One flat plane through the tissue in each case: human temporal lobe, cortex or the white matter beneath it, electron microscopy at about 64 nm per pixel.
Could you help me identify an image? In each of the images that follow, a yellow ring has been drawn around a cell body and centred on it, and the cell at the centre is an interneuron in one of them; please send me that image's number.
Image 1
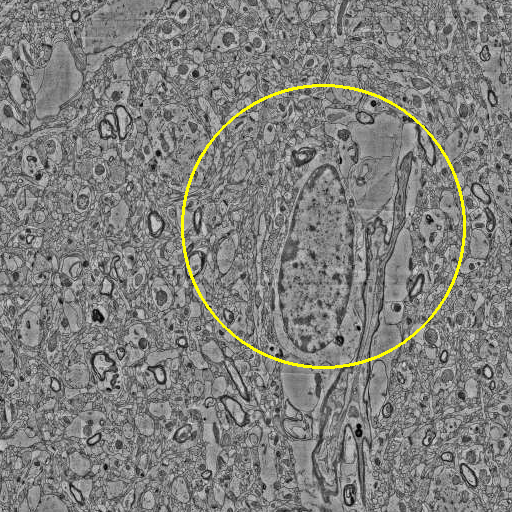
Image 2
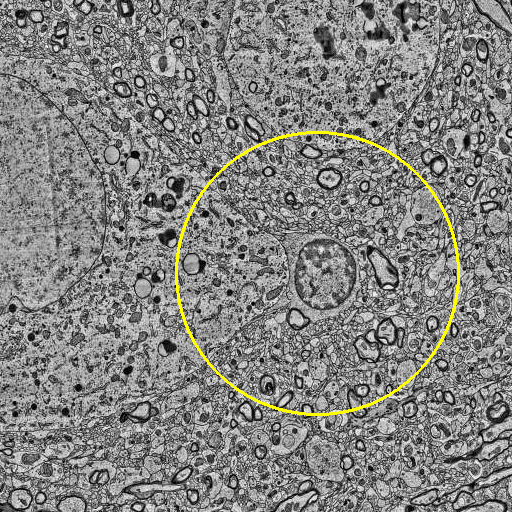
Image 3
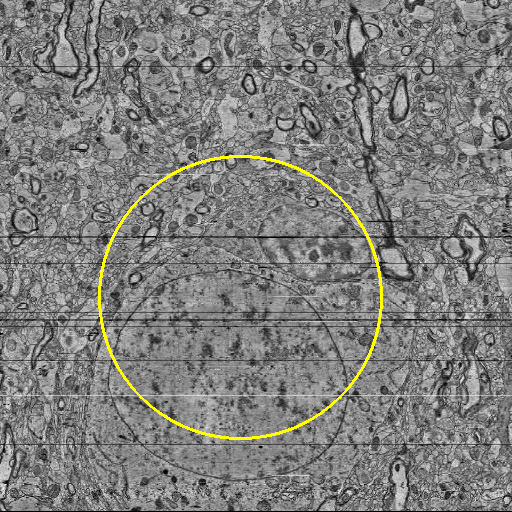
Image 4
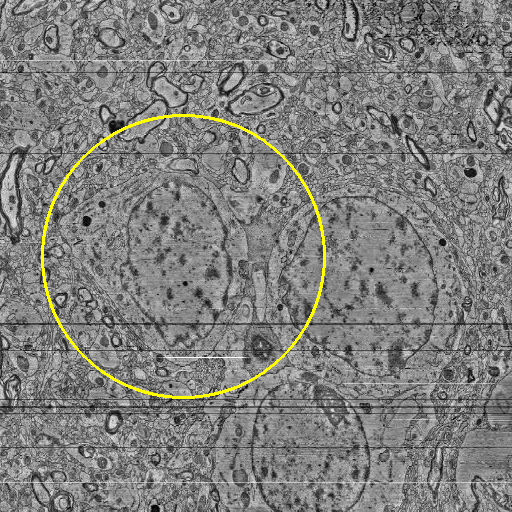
4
